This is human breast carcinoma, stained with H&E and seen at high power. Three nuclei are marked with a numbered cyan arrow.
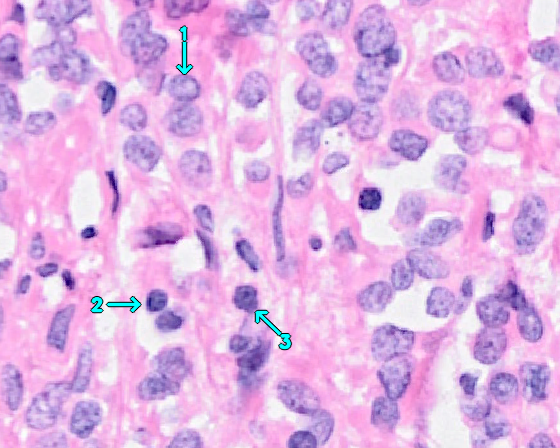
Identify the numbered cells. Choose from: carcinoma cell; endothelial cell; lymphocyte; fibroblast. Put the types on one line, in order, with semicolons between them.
carcinoma cell; lymphocyte; lymphocyte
